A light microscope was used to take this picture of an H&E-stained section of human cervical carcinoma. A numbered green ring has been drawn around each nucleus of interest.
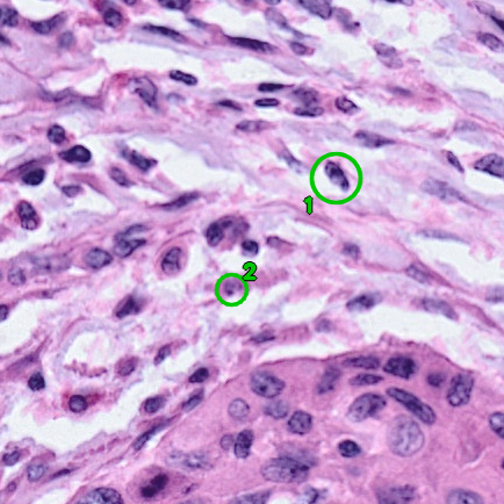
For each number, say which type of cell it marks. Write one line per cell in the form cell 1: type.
cell 1: lymphocyte
cell 2: fibroblast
